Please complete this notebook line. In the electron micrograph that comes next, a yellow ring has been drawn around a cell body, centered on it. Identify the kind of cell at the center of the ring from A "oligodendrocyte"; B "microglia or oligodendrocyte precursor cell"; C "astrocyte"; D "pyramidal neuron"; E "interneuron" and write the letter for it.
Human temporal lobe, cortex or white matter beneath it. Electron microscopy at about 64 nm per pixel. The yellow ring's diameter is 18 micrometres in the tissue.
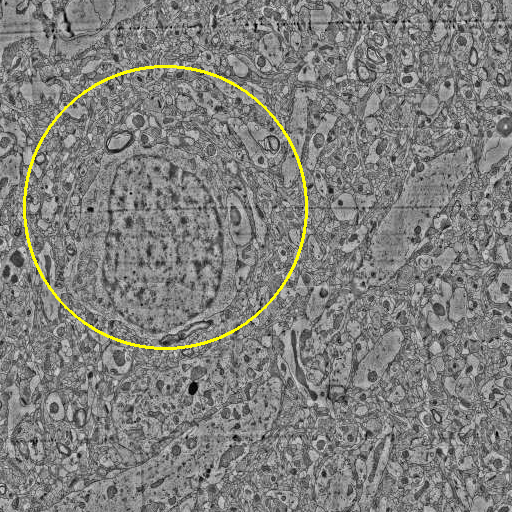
E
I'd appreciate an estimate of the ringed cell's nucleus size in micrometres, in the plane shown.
In this plane the nucleus is about 12 micrometres by 8.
